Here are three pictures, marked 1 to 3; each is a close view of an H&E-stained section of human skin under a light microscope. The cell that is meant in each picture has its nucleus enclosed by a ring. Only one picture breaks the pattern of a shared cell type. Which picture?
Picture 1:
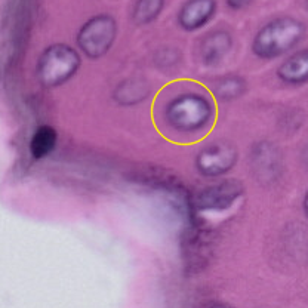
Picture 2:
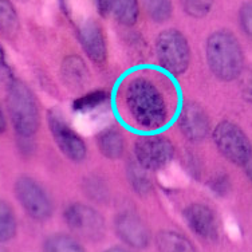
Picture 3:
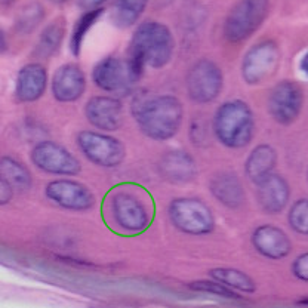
2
